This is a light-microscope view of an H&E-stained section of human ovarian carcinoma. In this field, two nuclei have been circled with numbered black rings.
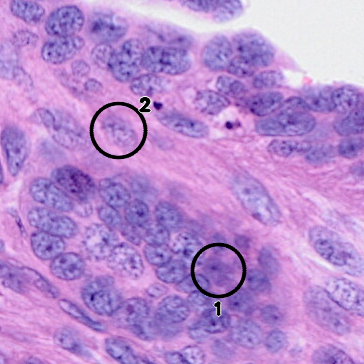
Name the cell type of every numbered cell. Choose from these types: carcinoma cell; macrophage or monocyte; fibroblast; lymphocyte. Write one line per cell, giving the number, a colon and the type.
1: carcinoma cell
2: fibroblast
